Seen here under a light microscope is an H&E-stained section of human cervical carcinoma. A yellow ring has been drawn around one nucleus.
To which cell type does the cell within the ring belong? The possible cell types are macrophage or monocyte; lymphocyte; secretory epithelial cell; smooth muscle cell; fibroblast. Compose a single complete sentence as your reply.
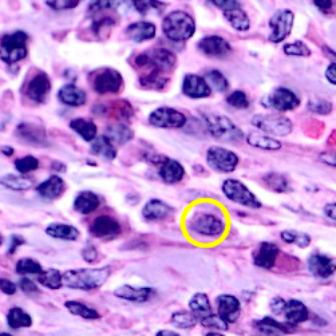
For the purposes of cell typing, the cell within the ring is categorized as a macrophage or monocyte.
